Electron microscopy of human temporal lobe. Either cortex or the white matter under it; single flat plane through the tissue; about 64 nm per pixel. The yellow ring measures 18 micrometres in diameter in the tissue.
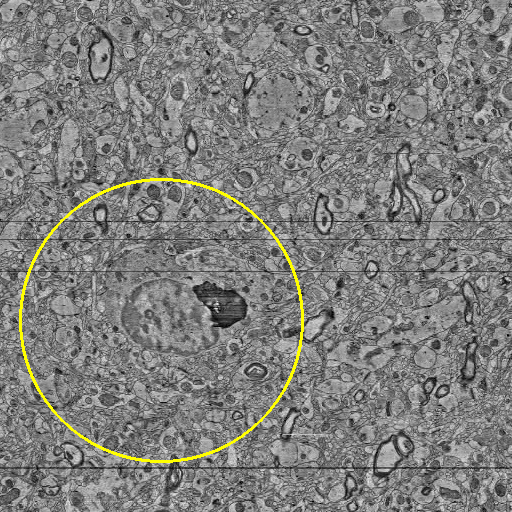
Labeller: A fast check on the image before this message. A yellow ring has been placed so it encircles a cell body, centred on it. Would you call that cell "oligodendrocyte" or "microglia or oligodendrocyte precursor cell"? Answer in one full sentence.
In this image, an oligodendrocyte is the cell on which the yellow ring is centred.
